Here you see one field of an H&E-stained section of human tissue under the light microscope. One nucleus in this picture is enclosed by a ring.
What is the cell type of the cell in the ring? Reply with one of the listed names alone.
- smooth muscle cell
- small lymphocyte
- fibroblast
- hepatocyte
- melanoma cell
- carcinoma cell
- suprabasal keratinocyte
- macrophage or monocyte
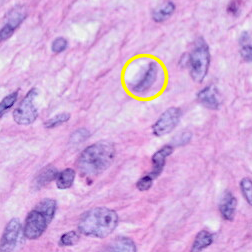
fibroblast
